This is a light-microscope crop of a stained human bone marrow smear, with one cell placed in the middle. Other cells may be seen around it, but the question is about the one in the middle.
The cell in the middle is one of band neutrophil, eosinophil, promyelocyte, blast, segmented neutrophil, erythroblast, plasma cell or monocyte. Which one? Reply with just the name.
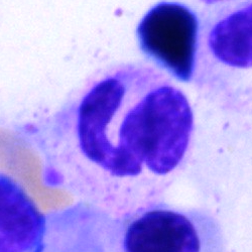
segmented neutrophil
